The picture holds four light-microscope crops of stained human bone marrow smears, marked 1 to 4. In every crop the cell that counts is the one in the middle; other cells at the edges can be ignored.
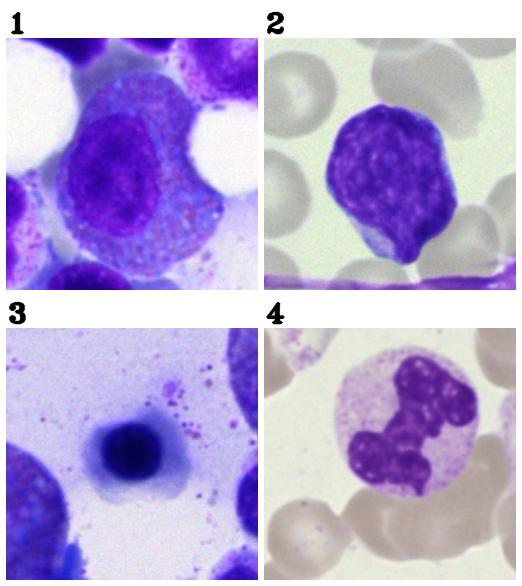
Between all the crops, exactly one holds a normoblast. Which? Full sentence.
Of the labeled crops, the one with a normoblast is crop 3.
